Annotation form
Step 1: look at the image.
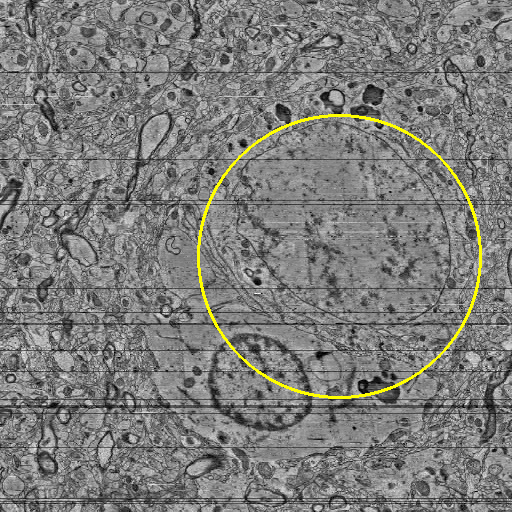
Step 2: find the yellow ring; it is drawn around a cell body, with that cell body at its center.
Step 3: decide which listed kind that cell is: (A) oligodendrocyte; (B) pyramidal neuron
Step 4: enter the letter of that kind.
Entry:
B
